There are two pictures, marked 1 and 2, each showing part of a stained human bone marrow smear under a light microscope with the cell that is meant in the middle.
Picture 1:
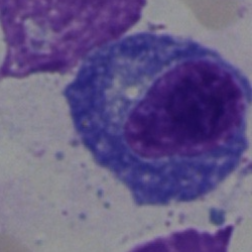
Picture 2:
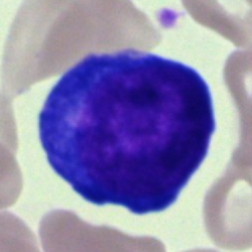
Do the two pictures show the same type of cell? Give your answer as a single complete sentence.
No; the cell in picture 1 is a plasma cell, while the one in picture 2 is a proerythroblast.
